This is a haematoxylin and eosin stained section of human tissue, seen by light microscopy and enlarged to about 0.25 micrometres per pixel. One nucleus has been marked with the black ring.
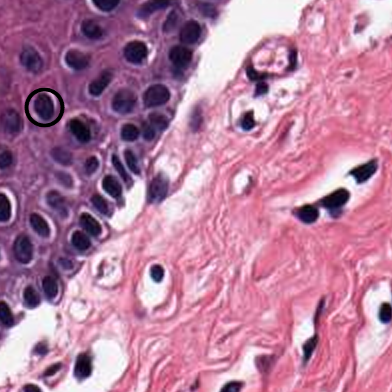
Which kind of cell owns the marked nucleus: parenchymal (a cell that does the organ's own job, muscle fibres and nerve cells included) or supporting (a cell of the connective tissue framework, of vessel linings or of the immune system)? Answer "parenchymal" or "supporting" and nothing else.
parenchymal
